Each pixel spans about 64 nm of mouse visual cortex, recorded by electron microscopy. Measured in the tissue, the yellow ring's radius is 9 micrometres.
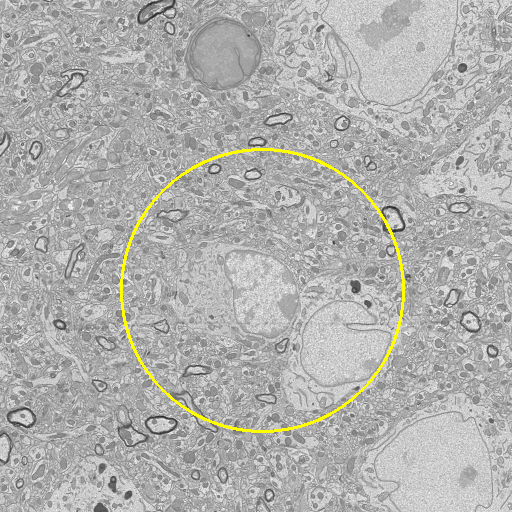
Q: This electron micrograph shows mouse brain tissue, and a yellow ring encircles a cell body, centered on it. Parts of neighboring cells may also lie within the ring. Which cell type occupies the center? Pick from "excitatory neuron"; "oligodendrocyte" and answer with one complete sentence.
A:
What sits at the ring's center in this micrograph is an oligodendrocyte, among those choices.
